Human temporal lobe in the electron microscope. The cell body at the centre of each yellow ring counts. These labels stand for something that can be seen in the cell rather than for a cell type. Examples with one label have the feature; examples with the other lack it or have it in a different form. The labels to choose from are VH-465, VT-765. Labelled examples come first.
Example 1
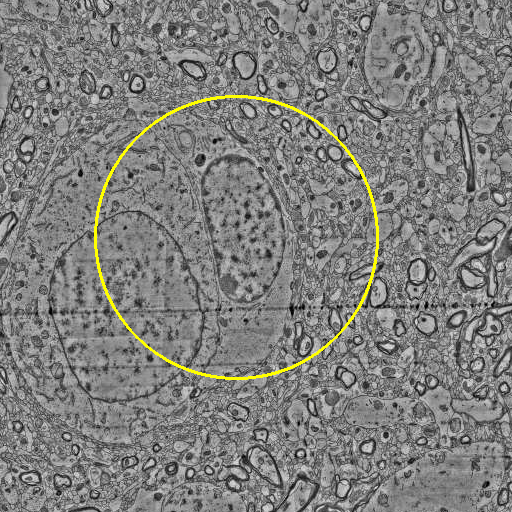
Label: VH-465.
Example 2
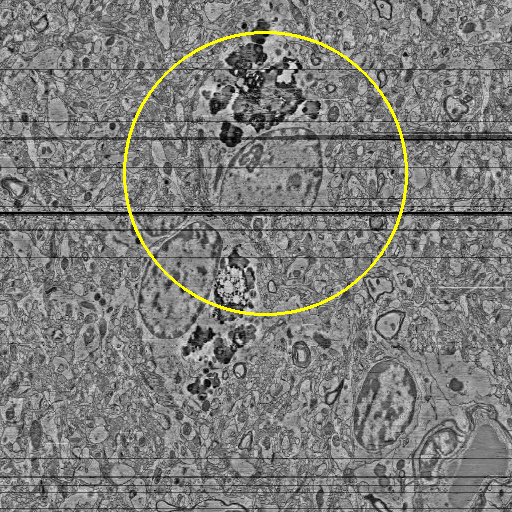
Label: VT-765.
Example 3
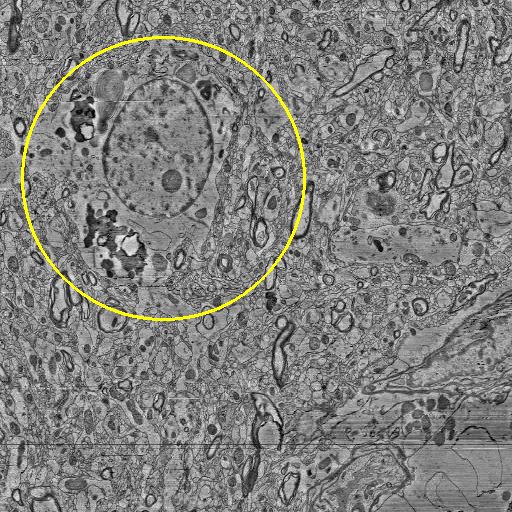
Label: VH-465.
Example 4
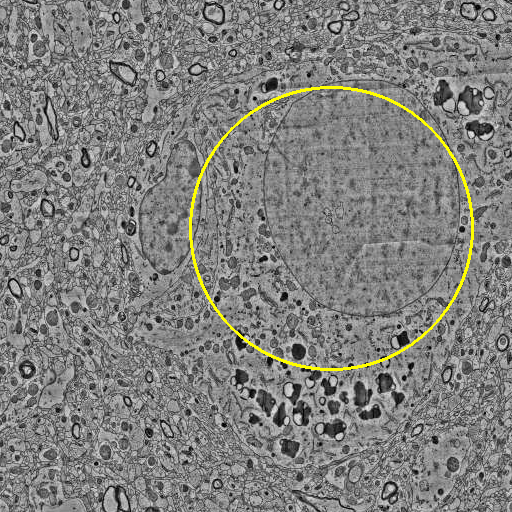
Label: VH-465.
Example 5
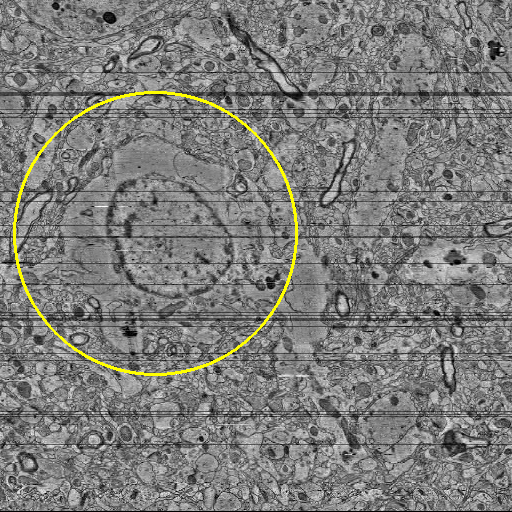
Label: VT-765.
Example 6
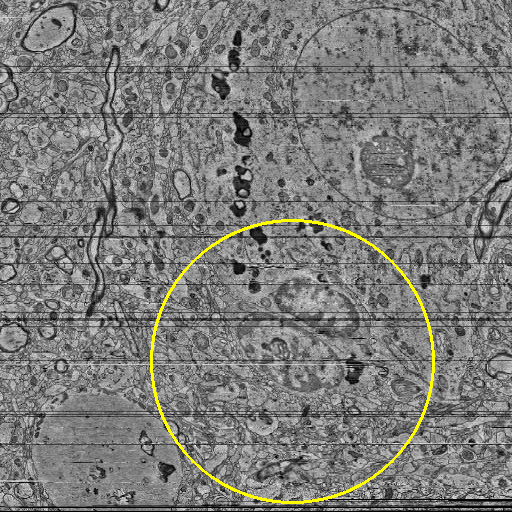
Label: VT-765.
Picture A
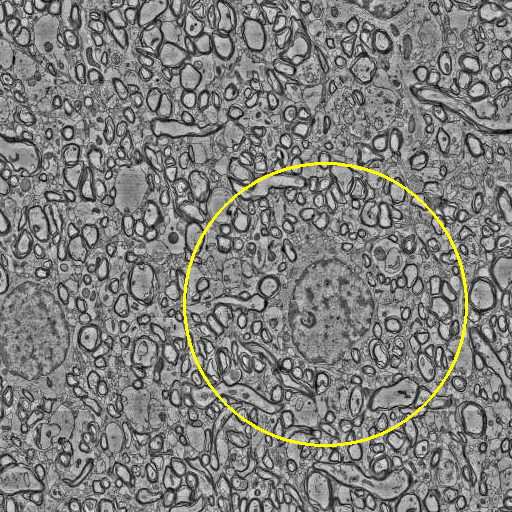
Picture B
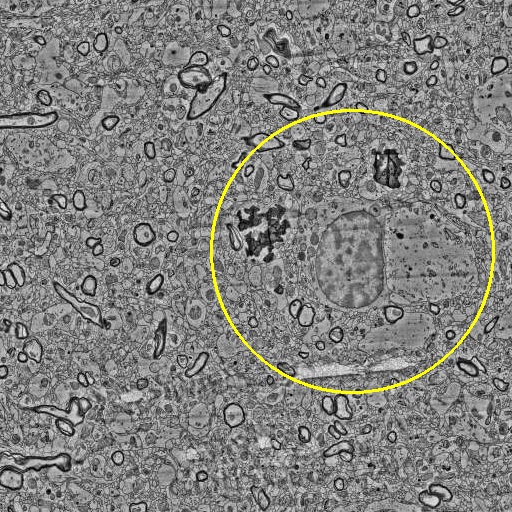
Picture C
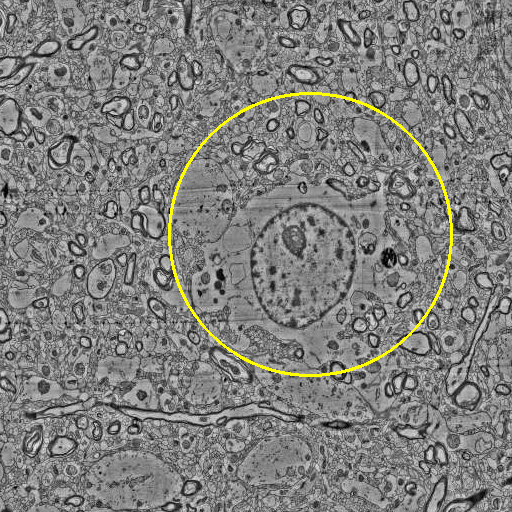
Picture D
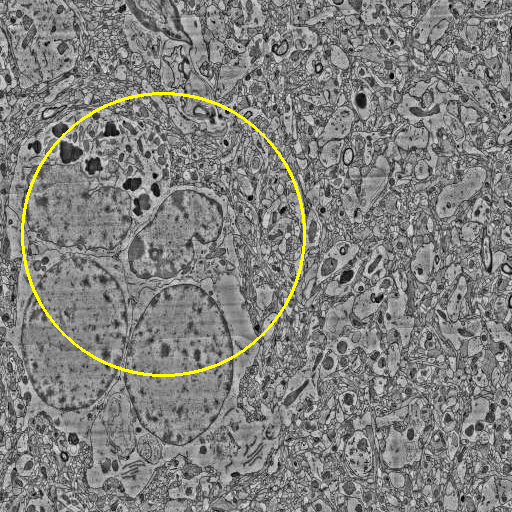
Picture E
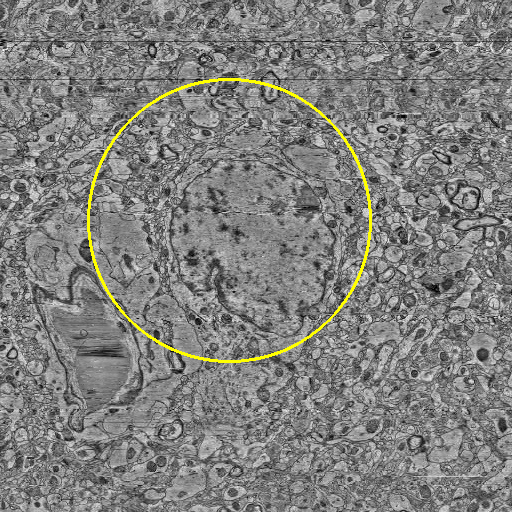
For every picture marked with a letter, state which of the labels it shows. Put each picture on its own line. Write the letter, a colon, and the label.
A: VH-465.
B: VH-465.
C: VH-465.
D: VT-765.
E: VT-765.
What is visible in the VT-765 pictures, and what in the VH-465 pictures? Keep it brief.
VT-765: deeply folded or indented nuclear envelopes; VH-465: smooth nuclear envelopes without deep folds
